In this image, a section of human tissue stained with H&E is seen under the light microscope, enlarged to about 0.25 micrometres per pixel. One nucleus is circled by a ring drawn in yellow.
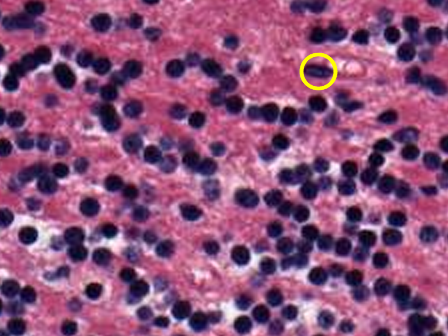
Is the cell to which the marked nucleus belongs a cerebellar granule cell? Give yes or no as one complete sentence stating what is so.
No, the cell to which the marked nucleus belongs is a supporting cell rather than a cerebellar granule cell.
